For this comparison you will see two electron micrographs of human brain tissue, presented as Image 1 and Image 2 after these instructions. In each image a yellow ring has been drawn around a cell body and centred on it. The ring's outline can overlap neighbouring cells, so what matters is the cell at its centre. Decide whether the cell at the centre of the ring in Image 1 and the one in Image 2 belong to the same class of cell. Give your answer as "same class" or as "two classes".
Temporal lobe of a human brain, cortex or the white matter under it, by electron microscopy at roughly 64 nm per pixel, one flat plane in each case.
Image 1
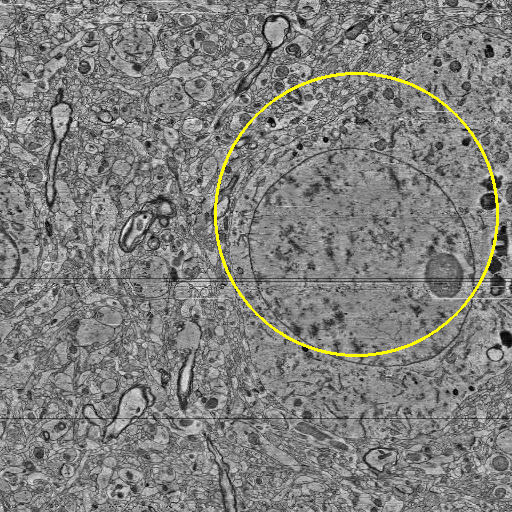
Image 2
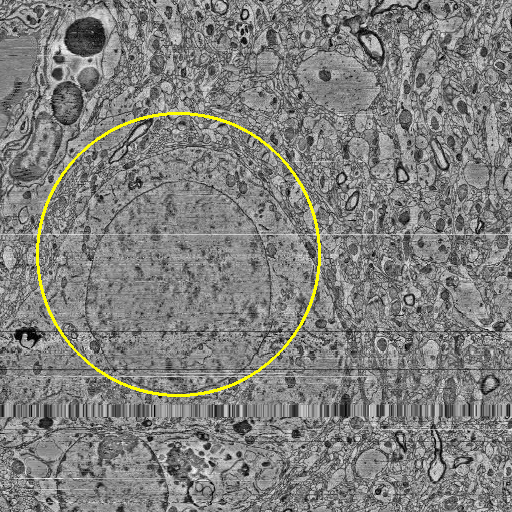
same class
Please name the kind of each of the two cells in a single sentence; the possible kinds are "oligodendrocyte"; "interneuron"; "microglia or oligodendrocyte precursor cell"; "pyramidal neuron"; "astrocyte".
The ring centre holds a pyramidal neuron in each of the two pictures.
